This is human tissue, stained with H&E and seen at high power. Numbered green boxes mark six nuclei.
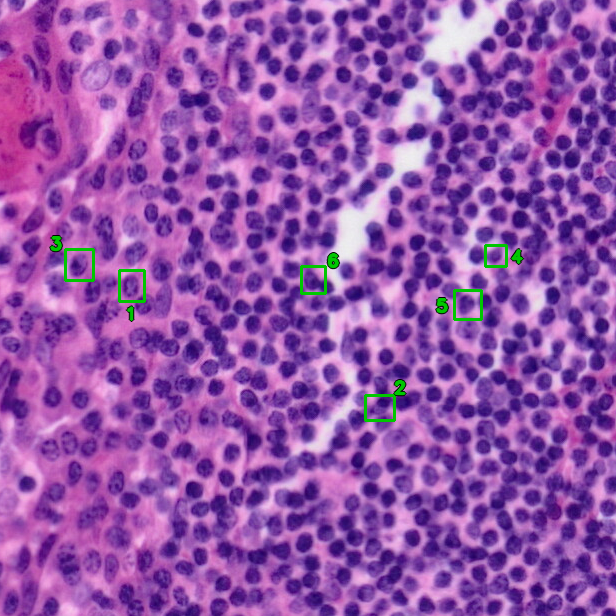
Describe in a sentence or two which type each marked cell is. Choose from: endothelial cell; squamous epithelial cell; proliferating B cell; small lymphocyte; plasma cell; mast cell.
Cell 1 is a plasma cell, cell 2 is a small lymphocyte, cell 3 is a plasma cell, cell 4 is a small lymphocyte, cell 5 is a small lymphocyte and cell 6 is a small lymphocyte.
